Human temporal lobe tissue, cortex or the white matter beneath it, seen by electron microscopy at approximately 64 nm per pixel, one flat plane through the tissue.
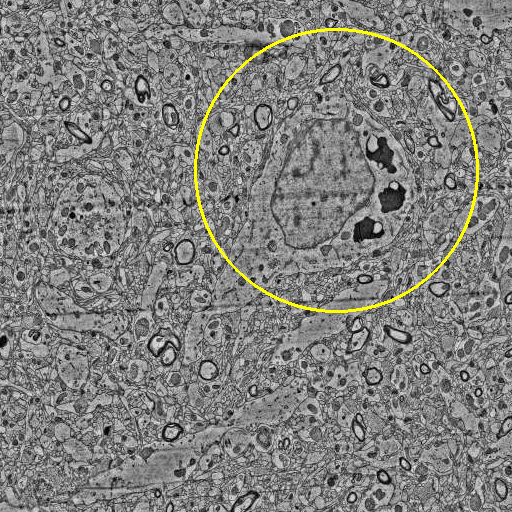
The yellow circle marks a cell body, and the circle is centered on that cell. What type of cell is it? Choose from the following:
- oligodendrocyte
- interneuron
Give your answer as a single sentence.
This cell body belongs to an interneuron.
